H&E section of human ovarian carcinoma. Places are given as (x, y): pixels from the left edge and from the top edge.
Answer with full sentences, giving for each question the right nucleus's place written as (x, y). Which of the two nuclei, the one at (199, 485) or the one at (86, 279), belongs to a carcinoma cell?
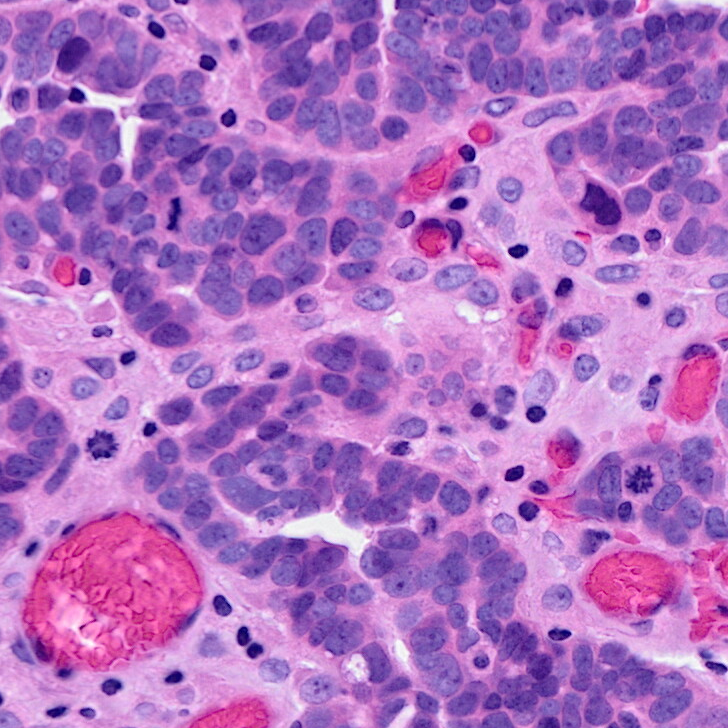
Of these two nuclei, it is the one at (199, 485) that belongs to a carcinoma cell.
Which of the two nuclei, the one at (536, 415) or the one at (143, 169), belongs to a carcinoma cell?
The nucleus of a carcinoma cell is the one found at (143, 169), not the other.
